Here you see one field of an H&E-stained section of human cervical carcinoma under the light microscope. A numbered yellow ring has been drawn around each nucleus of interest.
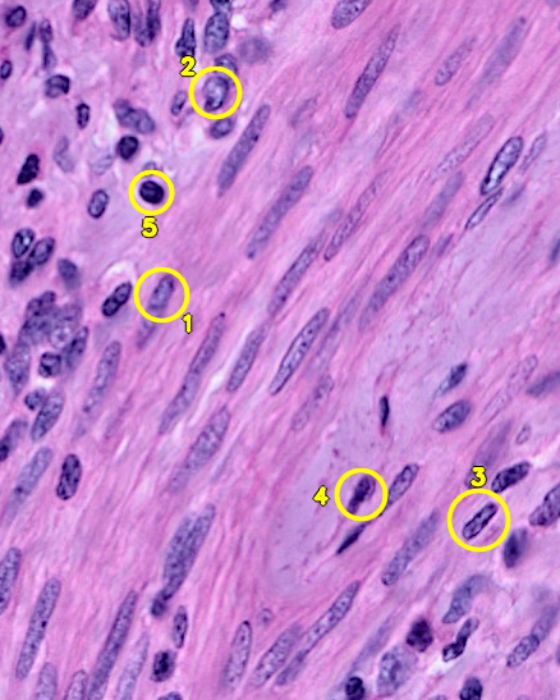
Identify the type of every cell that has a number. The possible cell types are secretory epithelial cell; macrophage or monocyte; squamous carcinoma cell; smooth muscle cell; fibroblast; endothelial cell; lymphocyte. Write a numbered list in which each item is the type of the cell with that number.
1. smooth muscle cell
2. endothelial cell
3. lymphocyte
4. smooth muscle cell
5. lymphocyte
